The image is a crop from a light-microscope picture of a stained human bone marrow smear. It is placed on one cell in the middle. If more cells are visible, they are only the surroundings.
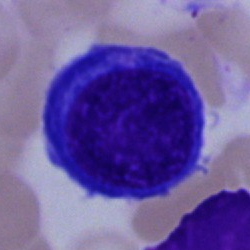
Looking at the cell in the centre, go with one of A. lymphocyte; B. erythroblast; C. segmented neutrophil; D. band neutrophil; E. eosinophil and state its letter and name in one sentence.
The central cell of the crop is an erythroblast, which makes B the correct option.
